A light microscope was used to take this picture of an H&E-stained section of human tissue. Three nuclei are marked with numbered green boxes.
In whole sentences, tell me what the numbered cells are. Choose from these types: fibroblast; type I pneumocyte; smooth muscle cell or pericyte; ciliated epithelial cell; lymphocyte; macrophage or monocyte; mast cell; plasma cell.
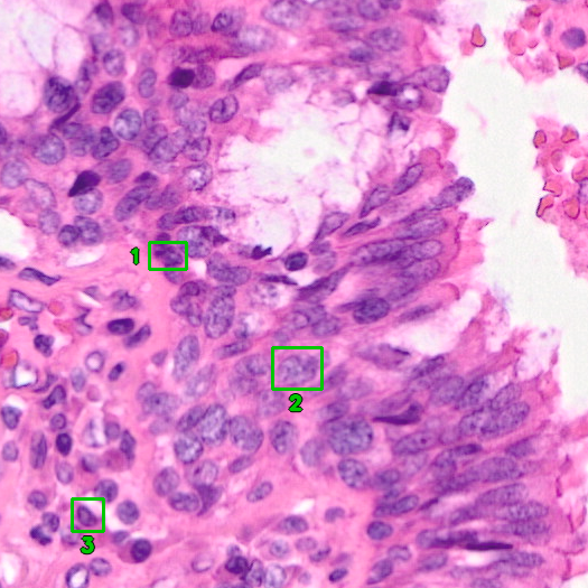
Cells 1 and 2 are ciliated epithelial cells. Cell 3 is a plasma cell.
